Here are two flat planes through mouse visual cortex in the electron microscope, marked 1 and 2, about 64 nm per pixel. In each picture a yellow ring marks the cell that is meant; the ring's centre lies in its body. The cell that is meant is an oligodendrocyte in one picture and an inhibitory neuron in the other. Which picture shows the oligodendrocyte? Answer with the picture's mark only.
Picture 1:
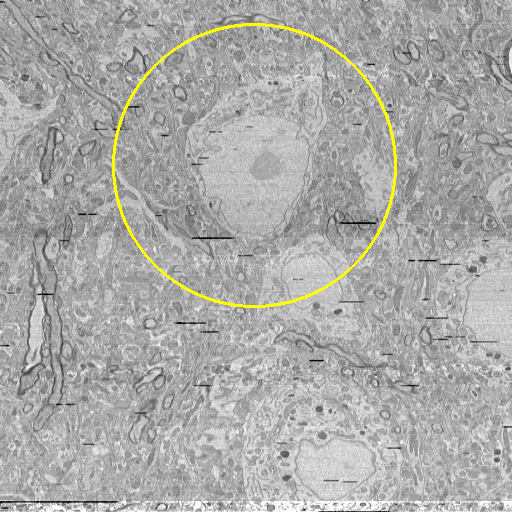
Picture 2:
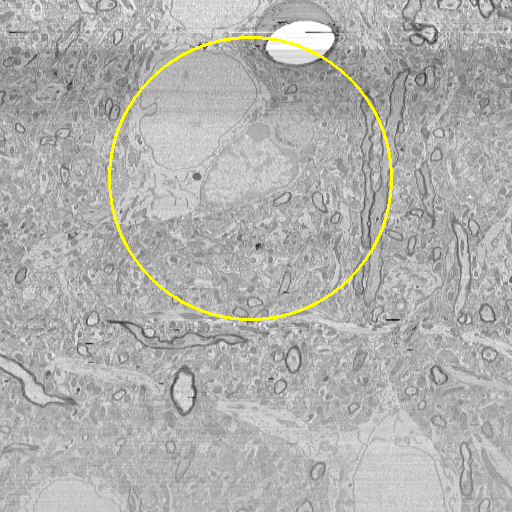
2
